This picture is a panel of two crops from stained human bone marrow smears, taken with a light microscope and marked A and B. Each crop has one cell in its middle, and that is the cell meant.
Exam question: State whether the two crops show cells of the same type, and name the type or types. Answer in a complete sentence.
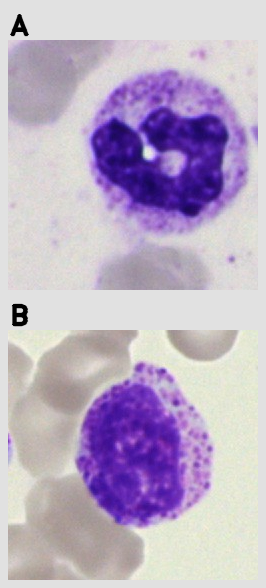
No, crop B holds a basophil, while crop A holds a neutrophil.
